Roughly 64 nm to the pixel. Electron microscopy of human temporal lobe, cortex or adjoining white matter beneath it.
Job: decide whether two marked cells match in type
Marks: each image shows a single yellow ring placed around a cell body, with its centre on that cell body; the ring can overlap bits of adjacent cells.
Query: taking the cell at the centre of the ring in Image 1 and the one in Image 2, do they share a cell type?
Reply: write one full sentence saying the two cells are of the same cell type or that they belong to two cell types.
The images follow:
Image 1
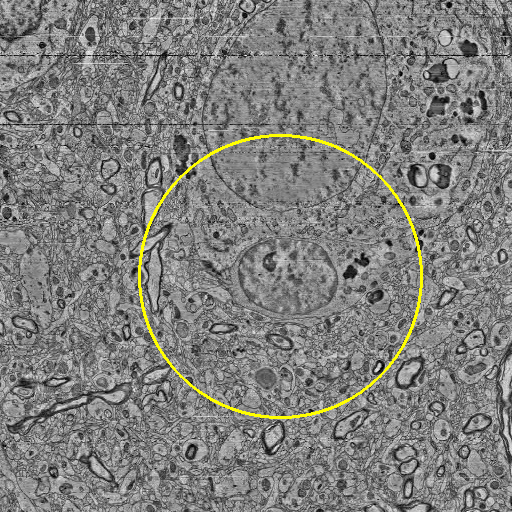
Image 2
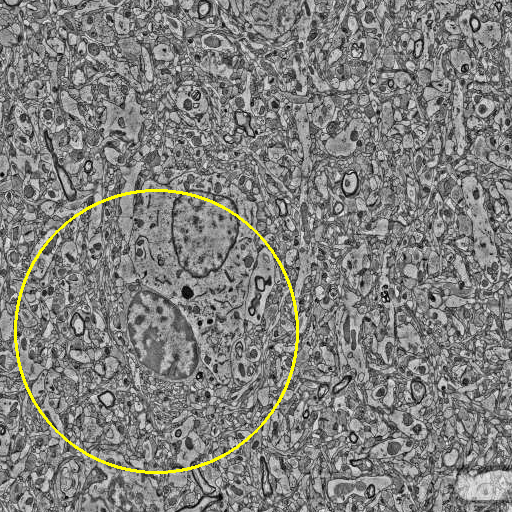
The cells at the ring centres in Image 1 and Image 2 are of the same cell type.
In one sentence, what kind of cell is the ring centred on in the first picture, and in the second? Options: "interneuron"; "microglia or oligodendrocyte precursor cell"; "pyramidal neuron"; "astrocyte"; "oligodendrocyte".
The cell at the ring centre is an oligodendrocyte in both pictures.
